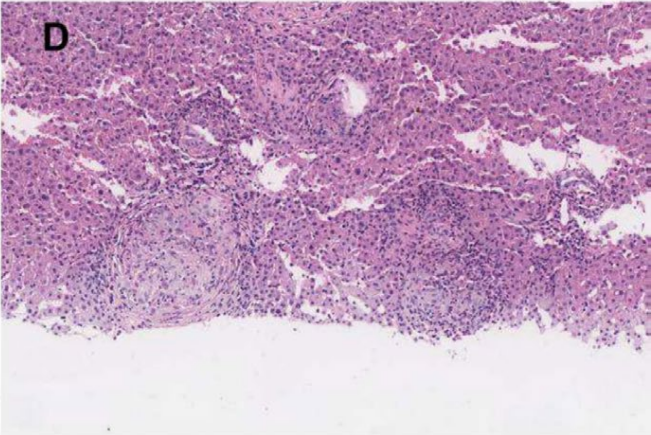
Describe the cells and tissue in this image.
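Here granulomas lie within the liver lobule itself, among the plates of liver cells. The surrounding liver cells are polygonal with pink cytoplasm and round central nuclei, with small clefts between the plates.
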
